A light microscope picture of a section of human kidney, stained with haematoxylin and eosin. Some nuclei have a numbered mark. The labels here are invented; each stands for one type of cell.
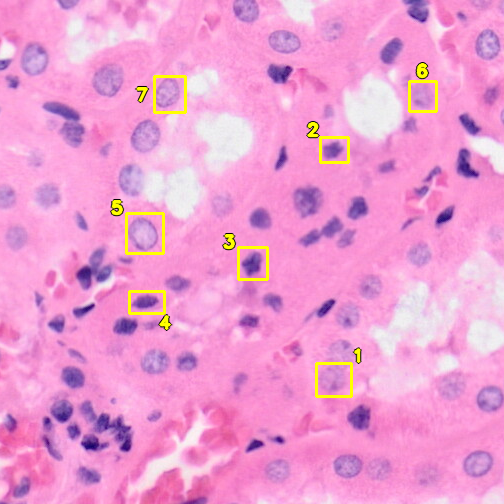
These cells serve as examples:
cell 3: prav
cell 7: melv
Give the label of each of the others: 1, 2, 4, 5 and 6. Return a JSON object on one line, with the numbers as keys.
{"1": "melv", "2": "prav", "4": "prav", "5": "melv", "6": "prav"}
